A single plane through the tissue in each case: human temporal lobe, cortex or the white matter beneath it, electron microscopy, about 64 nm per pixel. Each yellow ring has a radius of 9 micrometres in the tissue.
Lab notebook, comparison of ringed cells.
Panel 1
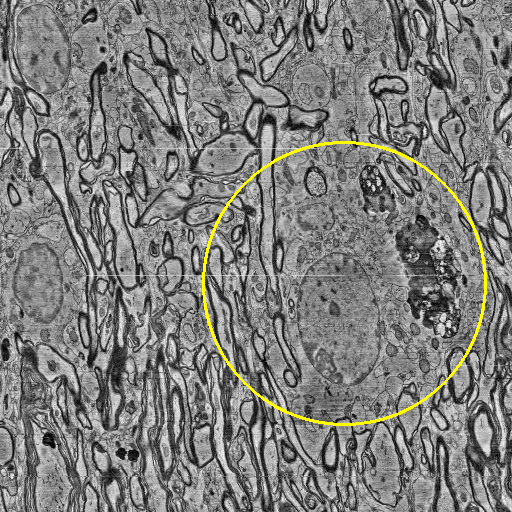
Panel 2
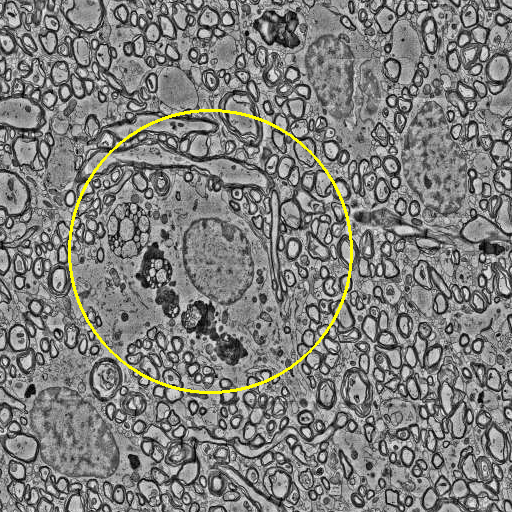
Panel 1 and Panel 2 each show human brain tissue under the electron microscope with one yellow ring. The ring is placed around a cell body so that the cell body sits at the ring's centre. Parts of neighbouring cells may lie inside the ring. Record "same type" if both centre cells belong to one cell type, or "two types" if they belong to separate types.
same type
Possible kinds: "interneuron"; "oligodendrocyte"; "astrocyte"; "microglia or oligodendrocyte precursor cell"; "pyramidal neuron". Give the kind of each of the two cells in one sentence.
The cell in the first picture is an astrocyte, and so is the one in the second.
